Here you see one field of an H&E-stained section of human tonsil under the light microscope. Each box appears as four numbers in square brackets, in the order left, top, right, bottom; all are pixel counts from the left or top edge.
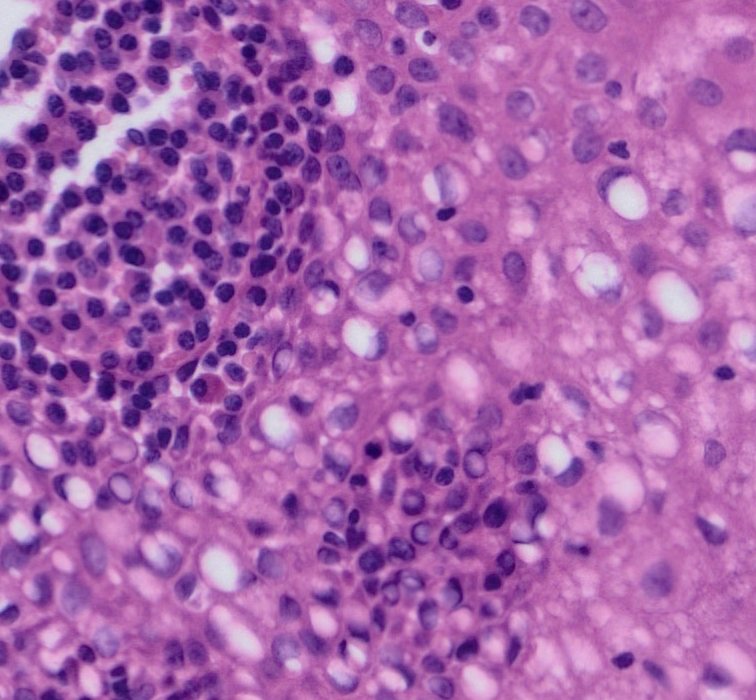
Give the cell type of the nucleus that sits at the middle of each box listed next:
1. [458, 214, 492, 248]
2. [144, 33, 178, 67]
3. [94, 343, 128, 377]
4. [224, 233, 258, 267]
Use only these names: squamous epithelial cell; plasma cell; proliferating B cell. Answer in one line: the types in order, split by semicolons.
squamous epithelial cell; plasma cell; plasma cell; plasma cell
